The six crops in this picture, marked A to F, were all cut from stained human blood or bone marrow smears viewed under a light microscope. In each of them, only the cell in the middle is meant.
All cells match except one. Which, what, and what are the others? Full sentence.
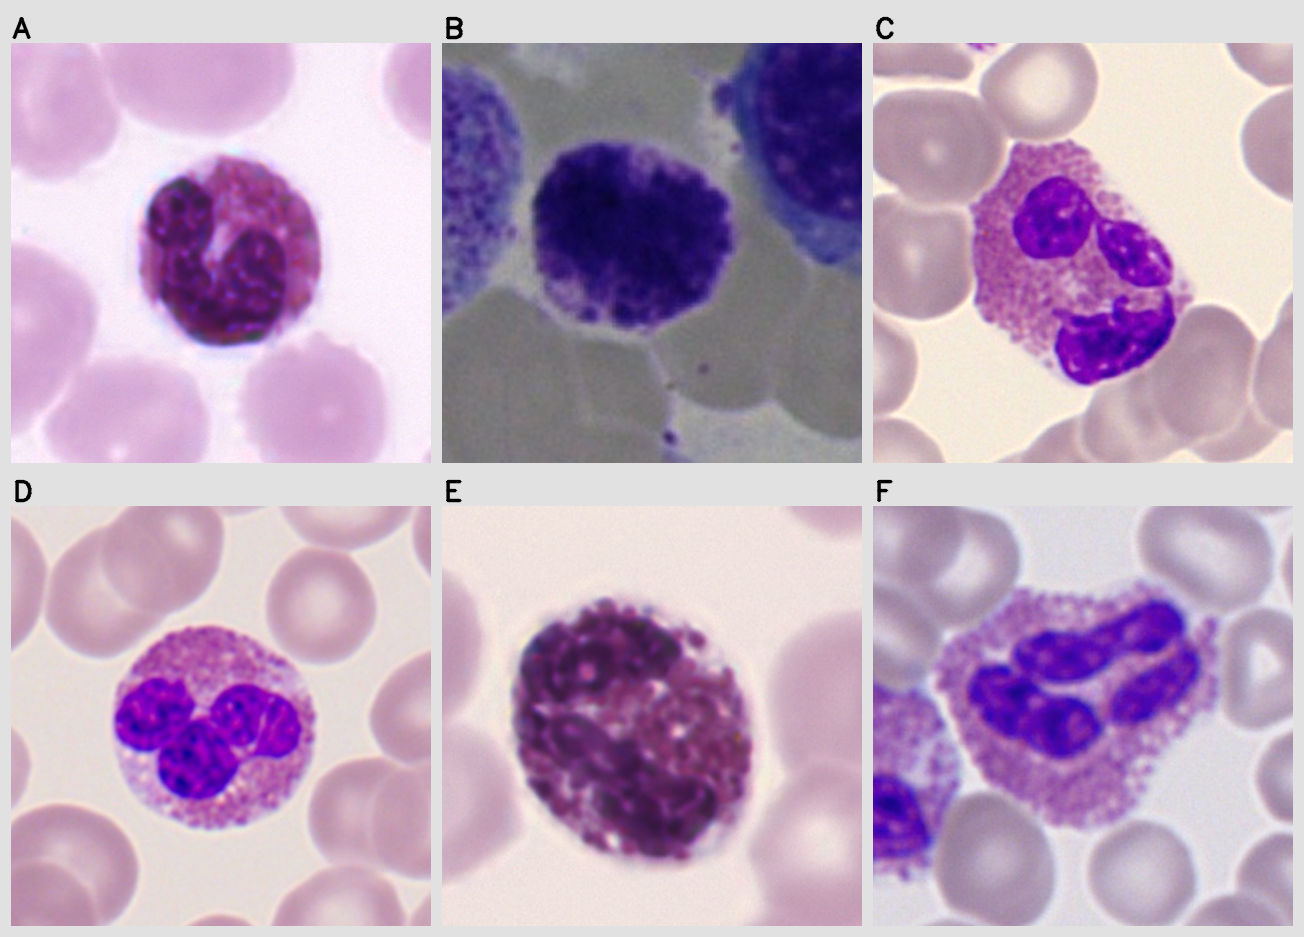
Crop B is the only one that is a basophil; all the others show eosinophils.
